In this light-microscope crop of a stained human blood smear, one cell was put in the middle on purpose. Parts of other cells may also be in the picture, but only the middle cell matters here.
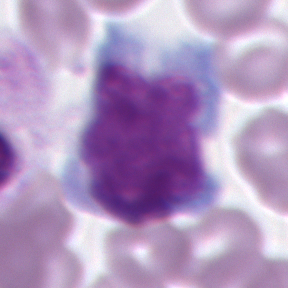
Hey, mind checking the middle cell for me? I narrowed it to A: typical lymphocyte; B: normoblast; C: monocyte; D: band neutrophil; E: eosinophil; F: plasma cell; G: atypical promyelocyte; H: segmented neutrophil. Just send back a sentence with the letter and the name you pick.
Option C is correct in naming the middle cell a monocyte.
